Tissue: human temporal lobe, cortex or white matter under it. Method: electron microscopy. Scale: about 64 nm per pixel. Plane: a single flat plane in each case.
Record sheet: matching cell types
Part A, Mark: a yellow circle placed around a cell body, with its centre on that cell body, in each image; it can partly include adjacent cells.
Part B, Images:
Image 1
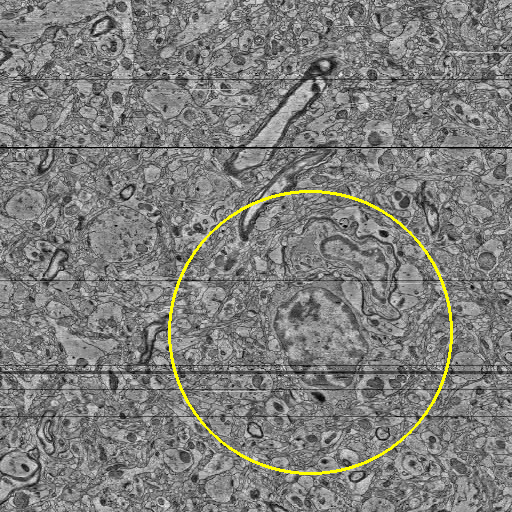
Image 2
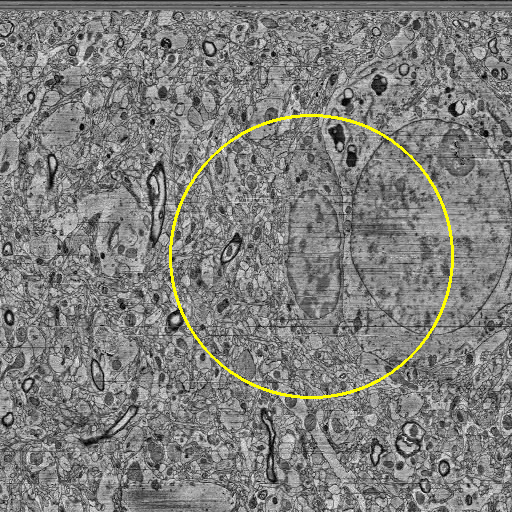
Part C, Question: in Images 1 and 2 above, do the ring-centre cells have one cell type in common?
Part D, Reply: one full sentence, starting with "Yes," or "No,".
Yes, the ring-centre cells of Image 1 and Image 2 are both of a single cell type.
